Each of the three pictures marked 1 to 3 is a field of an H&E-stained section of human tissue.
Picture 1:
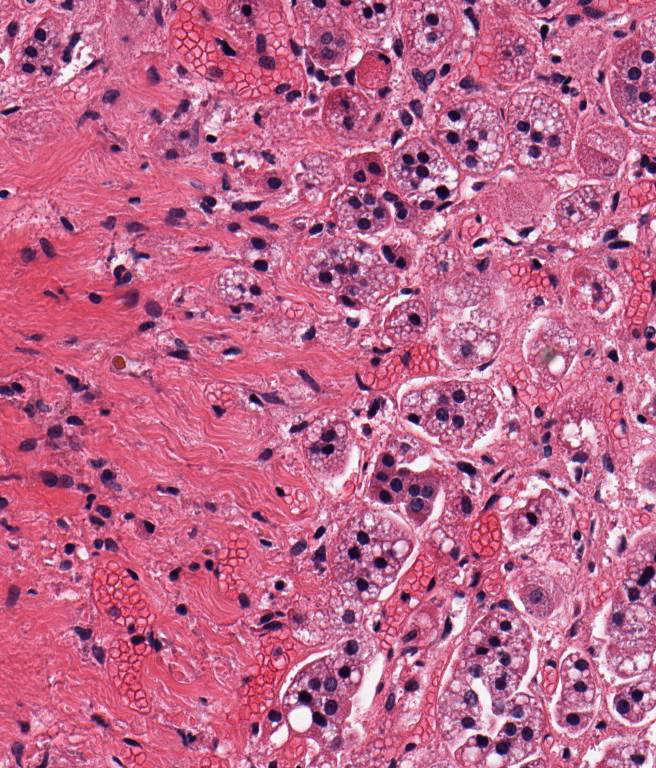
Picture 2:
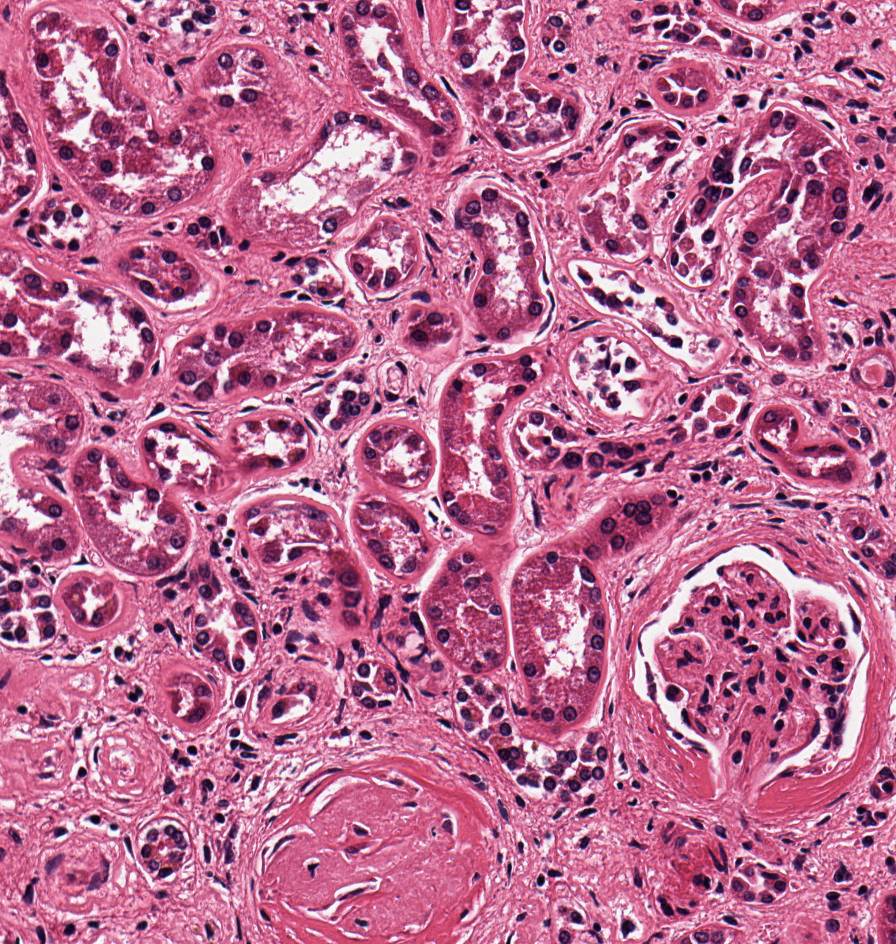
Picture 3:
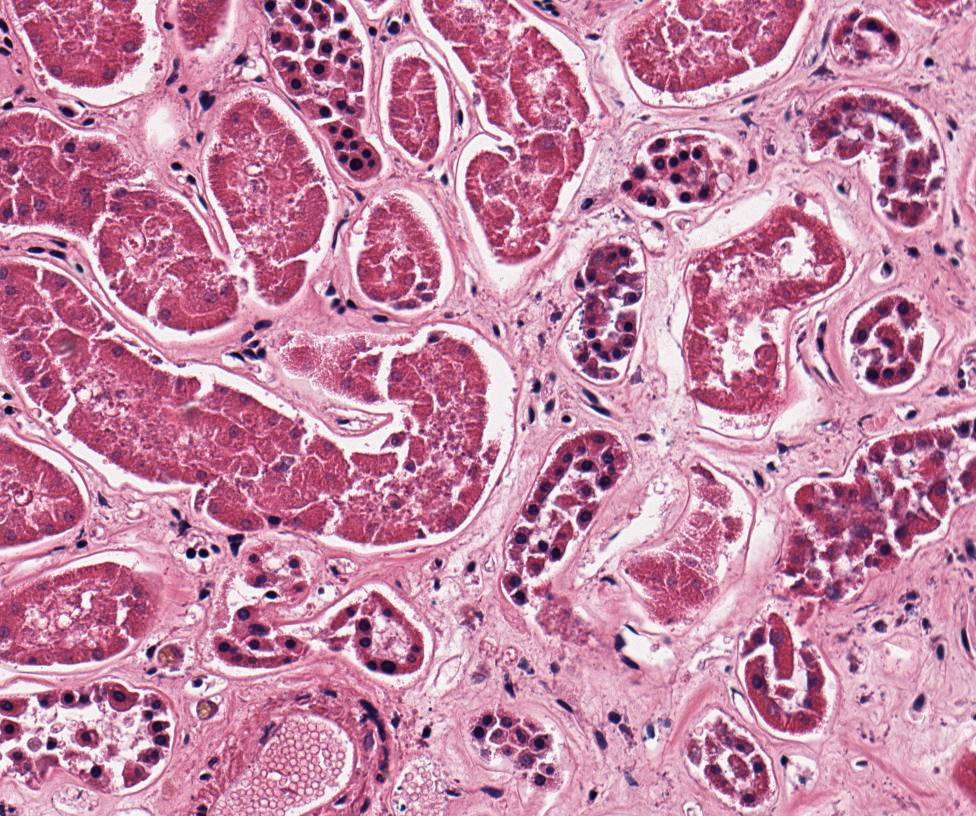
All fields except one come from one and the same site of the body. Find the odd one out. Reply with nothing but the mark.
1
